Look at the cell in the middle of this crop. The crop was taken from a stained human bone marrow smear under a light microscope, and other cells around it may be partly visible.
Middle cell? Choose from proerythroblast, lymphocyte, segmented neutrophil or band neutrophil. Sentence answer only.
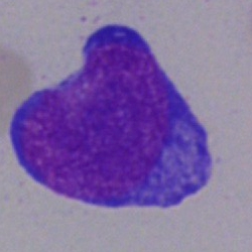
The cell occupying the middle of the crop is a proerythroblast.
